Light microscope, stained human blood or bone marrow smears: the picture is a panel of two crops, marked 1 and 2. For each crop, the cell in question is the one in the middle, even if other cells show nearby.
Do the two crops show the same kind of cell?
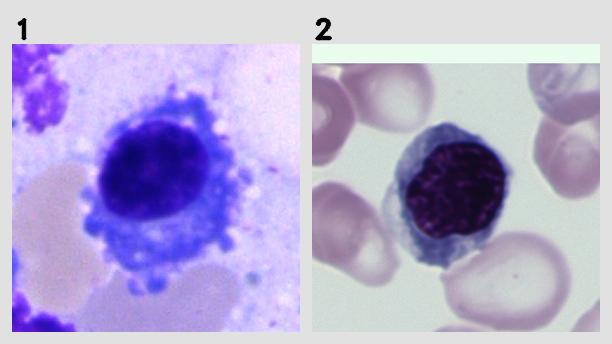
no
